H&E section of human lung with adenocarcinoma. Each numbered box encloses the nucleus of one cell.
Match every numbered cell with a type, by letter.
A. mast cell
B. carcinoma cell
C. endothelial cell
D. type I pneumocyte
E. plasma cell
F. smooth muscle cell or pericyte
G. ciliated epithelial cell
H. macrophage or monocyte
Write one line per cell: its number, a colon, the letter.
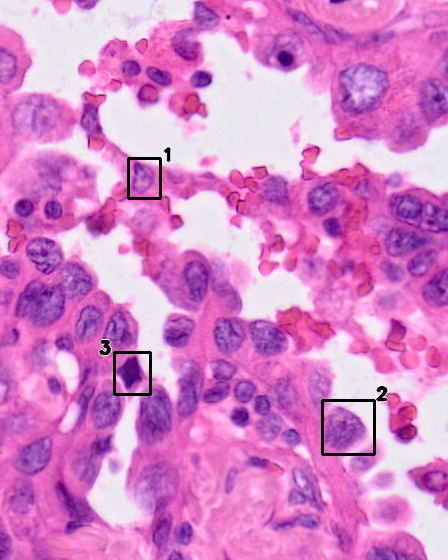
1: H
2: B
3: B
